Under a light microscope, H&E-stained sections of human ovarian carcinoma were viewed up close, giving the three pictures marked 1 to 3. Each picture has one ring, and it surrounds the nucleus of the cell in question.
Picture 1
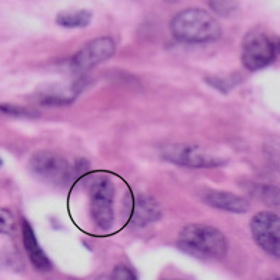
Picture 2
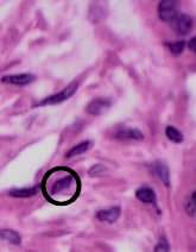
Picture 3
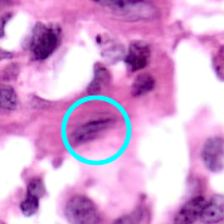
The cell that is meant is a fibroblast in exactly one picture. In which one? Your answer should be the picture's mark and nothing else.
2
